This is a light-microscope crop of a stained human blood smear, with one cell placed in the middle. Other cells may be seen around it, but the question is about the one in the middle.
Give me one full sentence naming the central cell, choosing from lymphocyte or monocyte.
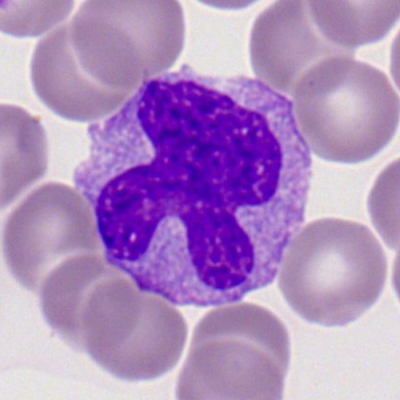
The cell around which this crop is centred is a monocyte.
